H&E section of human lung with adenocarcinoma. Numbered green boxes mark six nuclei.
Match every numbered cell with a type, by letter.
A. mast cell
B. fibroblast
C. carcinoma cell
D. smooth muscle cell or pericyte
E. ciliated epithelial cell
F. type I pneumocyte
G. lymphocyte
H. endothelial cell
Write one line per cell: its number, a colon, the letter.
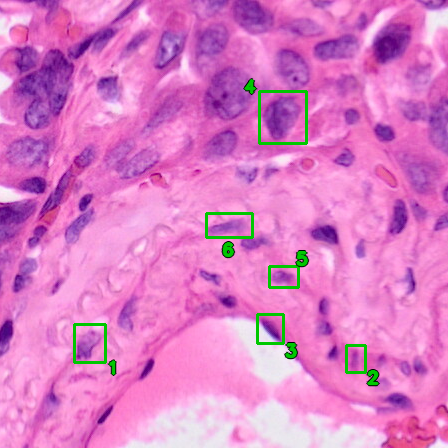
1: D
2: D
3: H
4: C
5: D
6: D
